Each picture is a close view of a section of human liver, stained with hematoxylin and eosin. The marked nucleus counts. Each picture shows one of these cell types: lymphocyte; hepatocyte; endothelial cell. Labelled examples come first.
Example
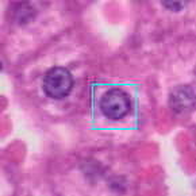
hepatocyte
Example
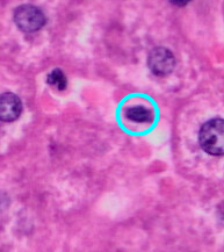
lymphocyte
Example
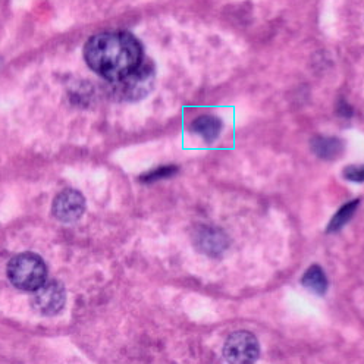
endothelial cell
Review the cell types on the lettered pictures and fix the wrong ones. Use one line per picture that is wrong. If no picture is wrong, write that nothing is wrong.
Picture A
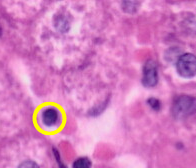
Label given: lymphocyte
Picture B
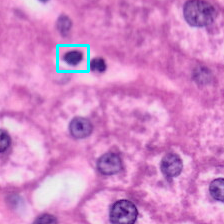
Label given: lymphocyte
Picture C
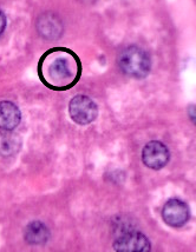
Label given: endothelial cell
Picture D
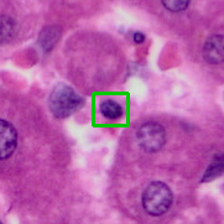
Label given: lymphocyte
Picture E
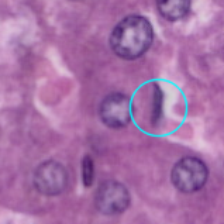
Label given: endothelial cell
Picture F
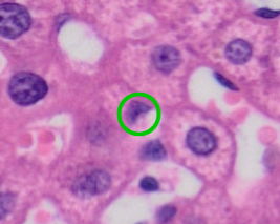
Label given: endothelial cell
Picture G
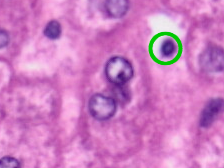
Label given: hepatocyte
G: lymphocyte, not hepatocyte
